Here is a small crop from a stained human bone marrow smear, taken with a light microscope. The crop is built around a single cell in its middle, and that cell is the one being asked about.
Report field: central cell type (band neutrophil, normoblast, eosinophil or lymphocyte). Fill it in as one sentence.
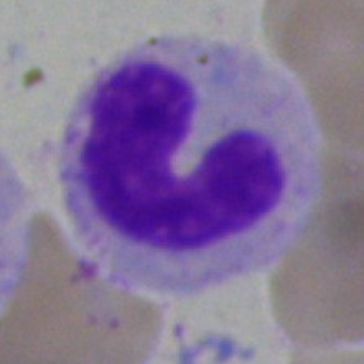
The cell at the middle of the crop is recognized as a band neutrophil.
